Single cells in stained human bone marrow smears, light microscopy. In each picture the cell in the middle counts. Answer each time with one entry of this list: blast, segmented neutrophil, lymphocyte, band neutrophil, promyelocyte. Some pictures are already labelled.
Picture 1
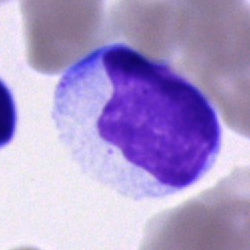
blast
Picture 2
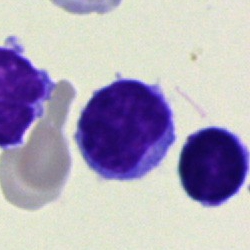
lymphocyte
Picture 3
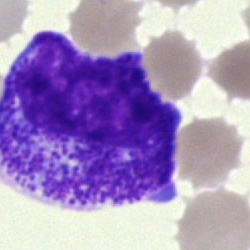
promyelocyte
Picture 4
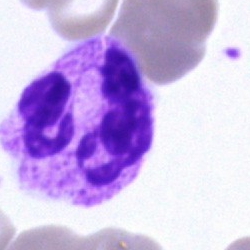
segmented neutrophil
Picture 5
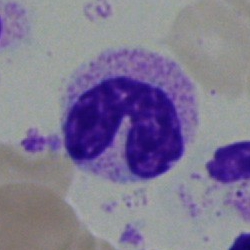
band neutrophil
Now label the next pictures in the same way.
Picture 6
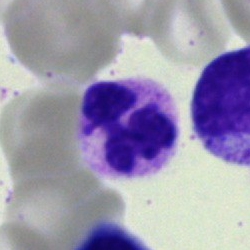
segmented neutrophil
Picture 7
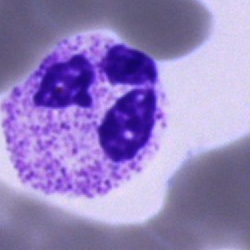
segmented neutrophil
